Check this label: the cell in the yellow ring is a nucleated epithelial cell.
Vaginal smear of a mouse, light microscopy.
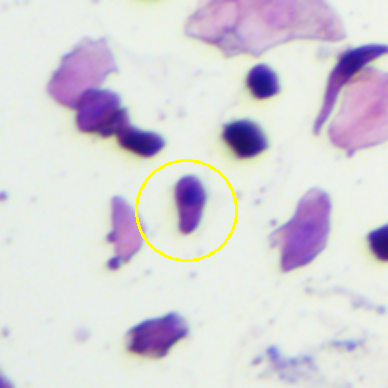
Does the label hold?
The label holds; the cell is a nucleated epithelial cell.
